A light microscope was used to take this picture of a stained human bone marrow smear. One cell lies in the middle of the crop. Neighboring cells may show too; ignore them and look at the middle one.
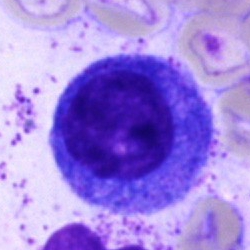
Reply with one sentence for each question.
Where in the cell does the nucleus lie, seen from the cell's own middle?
It is shifted toward the upper left of the cell.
